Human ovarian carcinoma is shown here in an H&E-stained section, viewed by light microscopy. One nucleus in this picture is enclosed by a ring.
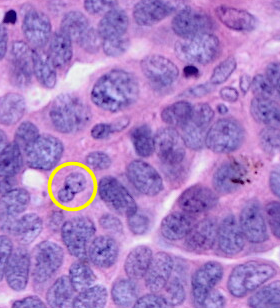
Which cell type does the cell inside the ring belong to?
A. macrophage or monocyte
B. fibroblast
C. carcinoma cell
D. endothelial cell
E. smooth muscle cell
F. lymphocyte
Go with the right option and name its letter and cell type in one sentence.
Option A is right in classifying the cell inside the ring as a macrophage or monocyte.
